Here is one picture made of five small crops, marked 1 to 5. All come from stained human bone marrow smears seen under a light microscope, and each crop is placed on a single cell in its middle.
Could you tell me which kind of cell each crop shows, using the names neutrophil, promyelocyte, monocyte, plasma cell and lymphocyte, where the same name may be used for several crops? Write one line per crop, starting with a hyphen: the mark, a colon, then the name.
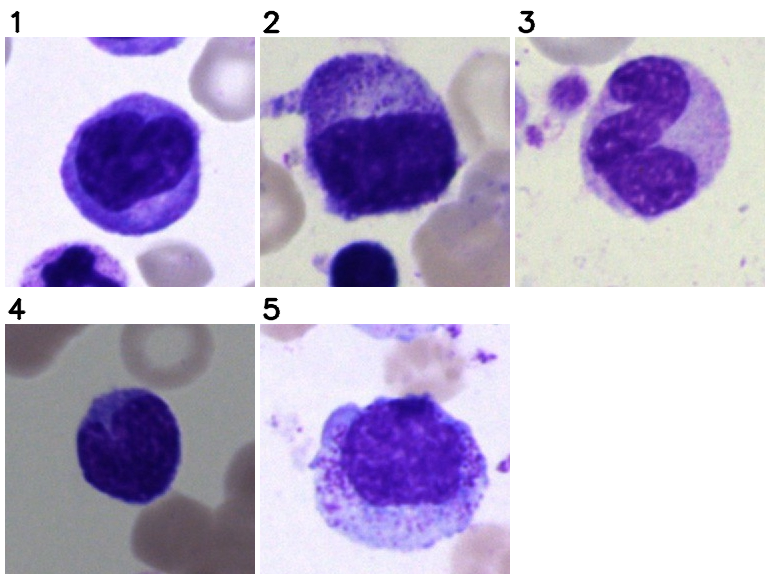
- 1: monocyte
- 2: promyelocyte
- 3: monocyte
- 4: lymphocyte
- 5: promyelocyte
